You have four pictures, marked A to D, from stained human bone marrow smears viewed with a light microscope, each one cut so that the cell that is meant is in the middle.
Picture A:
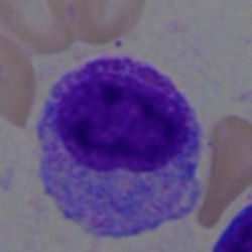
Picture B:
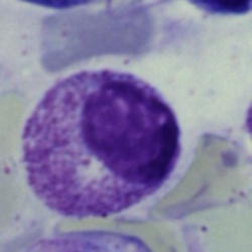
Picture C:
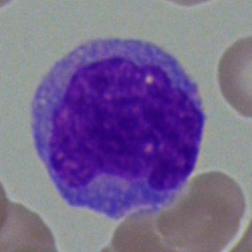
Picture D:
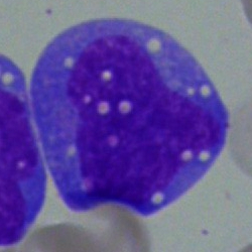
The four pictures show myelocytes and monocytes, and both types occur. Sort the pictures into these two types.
A: myelocyte
B: myelocyte
C: monocyte
D: monocyte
